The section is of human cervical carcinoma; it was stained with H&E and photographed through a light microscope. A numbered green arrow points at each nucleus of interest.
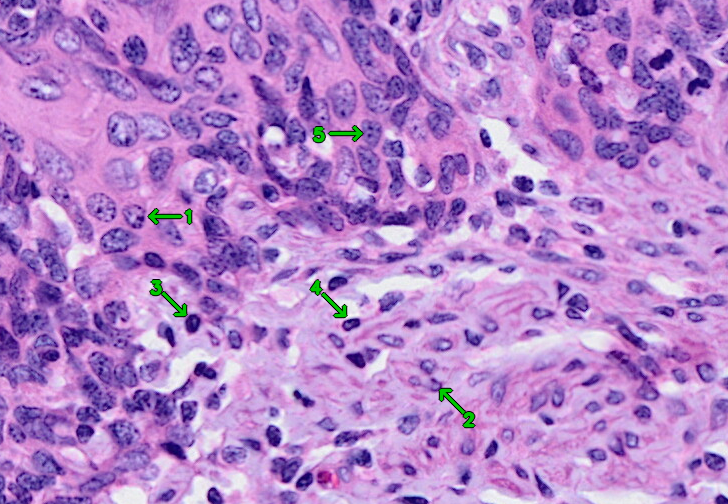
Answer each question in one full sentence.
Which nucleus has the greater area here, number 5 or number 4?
It is nucleus 5, which covers about 2.5 times the area of nucleus 4.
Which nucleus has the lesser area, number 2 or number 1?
Number 2 is smaller, since number 1 takes up about 3 times as much area.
